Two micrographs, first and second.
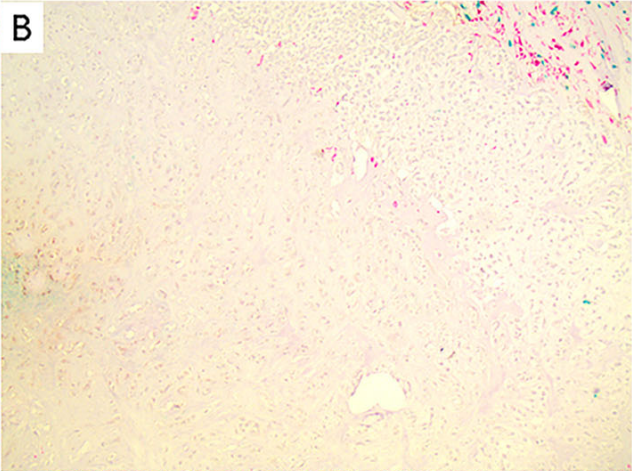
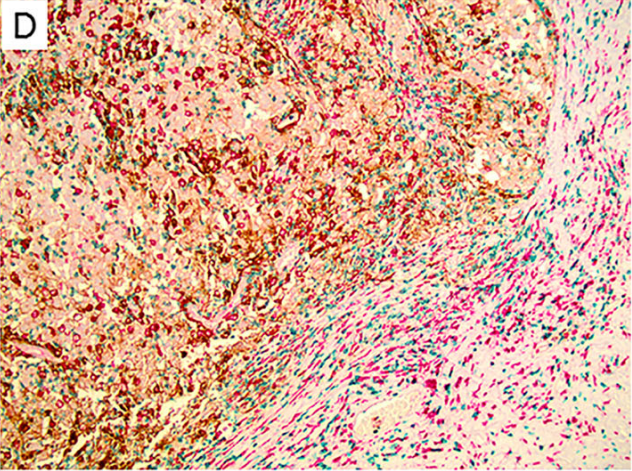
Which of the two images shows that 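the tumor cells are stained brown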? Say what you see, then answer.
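Second image: a dense cell nest is heavily stained brown. First image: the tumor area is pale with no brown staining.
Conclusion: the second image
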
